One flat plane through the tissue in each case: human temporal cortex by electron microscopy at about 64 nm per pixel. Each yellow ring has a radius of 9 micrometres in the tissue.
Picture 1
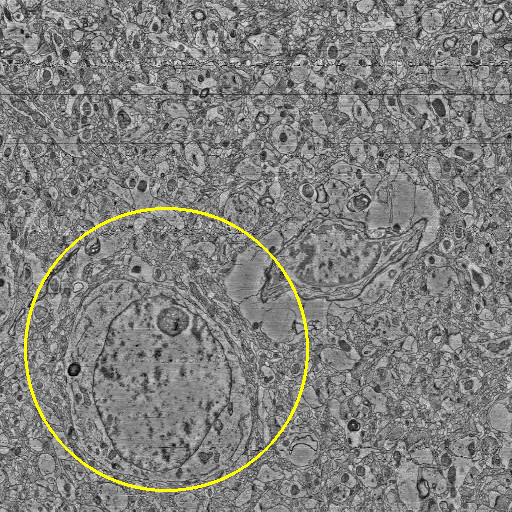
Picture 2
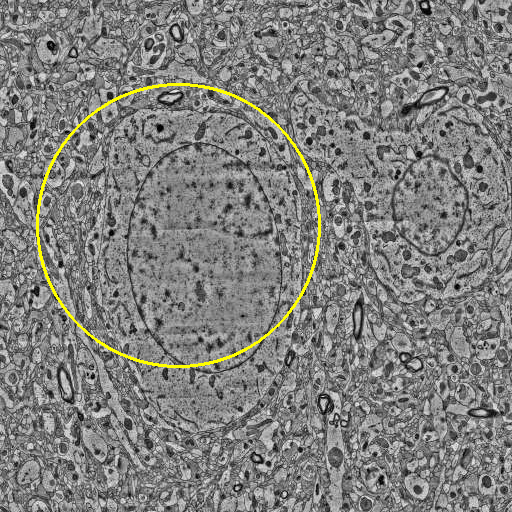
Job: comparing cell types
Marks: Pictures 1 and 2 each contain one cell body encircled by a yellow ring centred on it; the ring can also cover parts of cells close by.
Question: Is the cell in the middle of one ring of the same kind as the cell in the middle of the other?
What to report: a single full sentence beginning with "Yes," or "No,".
Yes, the cell at the ring centre in Picture 1 and its partner in Picture 2 are of one kind.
